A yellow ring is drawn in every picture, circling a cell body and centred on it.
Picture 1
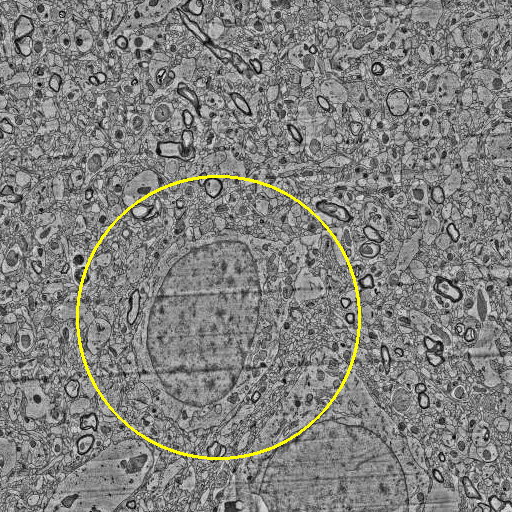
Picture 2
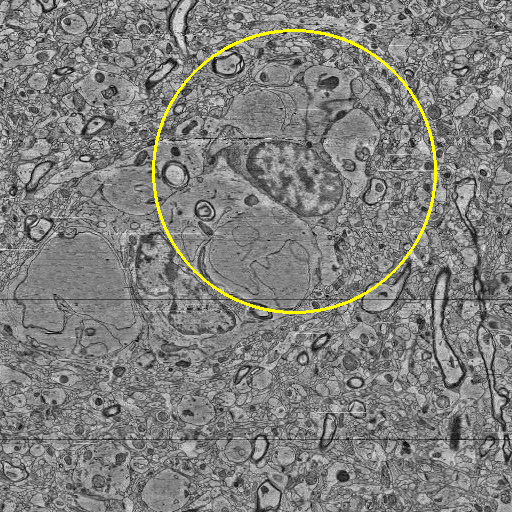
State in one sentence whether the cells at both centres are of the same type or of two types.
The cells at the two ring centres, one per picture, are of two types.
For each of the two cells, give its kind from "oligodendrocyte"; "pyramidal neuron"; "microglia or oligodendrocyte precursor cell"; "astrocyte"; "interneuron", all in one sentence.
The first picture has an interneuron in its ring, the second has an oligodendrocyte.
